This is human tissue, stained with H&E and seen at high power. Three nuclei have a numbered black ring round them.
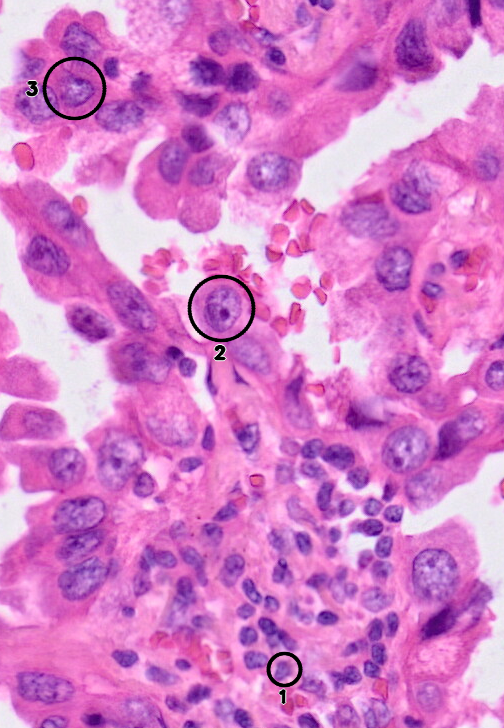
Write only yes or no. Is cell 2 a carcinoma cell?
yes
